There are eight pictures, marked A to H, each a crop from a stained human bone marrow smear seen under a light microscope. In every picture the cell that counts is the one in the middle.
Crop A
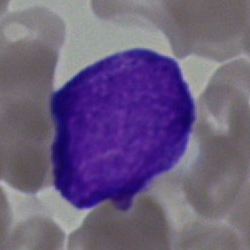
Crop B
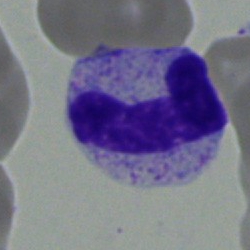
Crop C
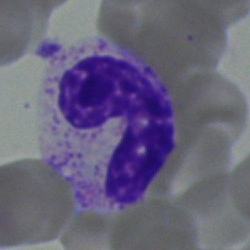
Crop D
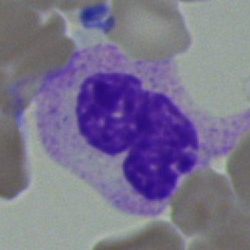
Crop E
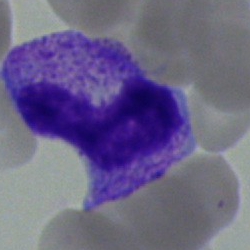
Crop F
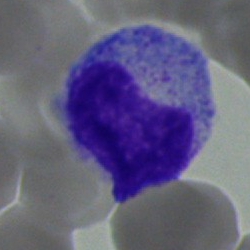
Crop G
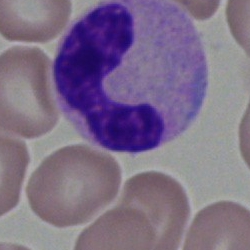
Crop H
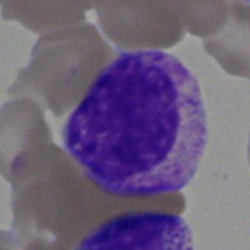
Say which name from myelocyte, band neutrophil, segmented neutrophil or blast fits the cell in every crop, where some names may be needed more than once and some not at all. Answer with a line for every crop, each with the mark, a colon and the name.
A: blast
B: band neutrophil
C: band neutrophil
D: band neutrophil
E: band neutrophil
F: myelocyte
G: band neutrophil
H: myelocyte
